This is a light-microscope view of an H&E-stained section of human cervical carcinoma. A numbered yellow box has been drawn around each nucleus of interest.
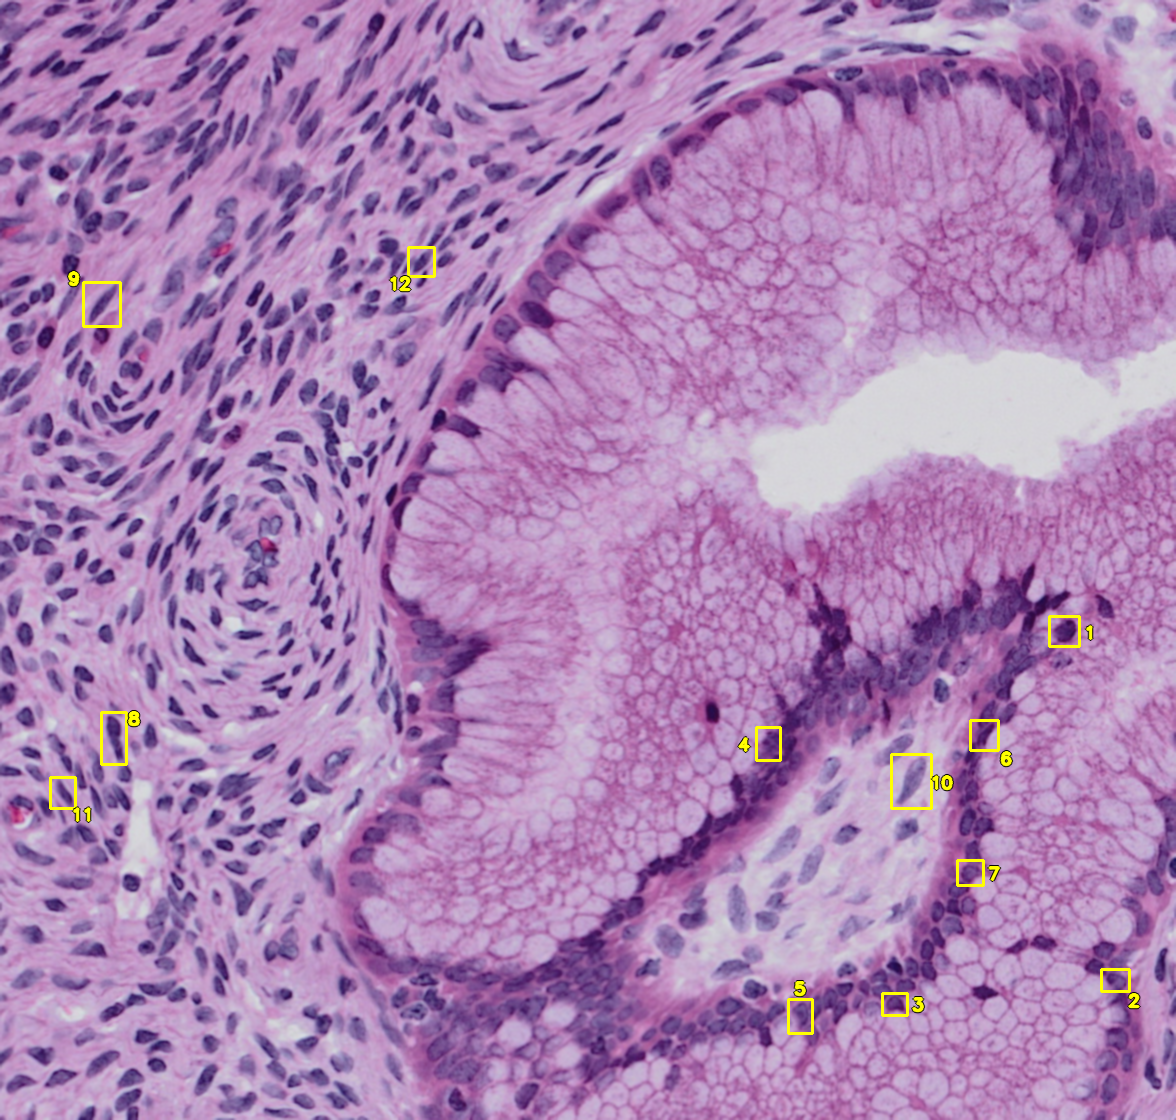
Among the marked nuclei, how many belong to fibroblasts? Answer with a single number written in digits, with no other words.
5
